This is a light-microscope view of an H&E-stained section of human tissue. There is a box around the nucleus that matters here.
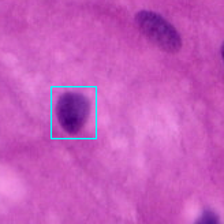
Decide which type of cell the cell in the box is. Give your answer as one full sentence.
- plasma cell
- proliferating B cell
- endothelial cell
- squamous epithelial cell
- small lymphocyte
In this section, the cell in the box is a squamous epithelial cell.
